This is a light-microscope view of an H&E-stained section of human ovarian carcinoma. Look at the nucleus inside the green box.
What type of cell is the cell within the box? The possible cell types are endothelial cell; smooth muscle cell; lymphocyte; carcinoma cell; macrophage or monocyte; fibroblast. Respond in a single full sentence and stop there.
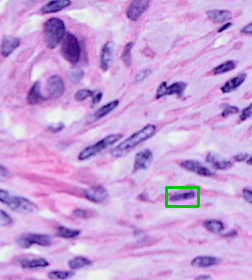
As a matter of cell type, the cell within the box is a fibroblast.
